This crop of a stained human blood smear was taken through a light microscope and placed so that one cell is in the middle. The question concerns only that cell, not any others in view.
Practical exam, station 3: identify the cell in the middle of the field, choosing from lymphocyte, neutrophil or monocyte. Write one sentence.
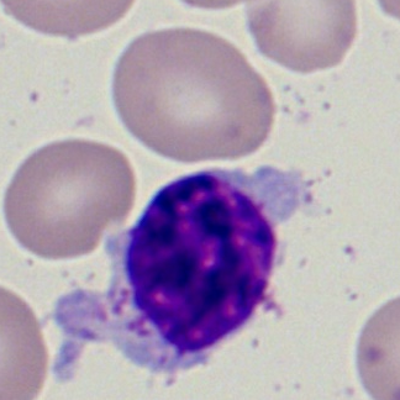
Seen at the centre of the crop is a lymphocyte.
